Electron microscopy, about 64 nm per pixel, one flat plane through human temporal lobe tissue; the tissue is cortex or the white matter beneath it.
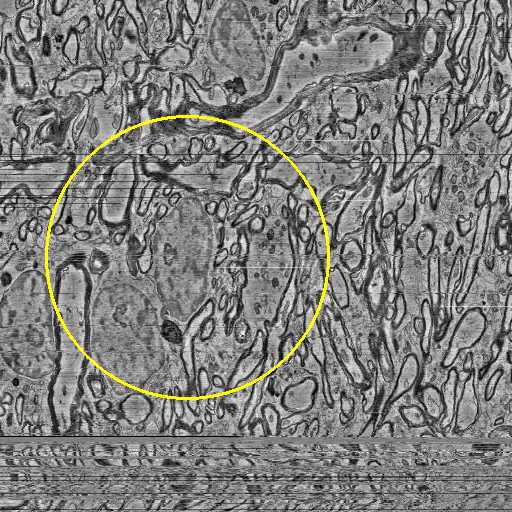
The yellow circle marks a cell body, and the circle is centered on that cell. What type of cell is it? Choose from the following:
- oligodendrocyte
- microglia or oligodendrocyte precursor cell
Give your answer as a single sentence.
This cell body belongs to an oligodendrocyte.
